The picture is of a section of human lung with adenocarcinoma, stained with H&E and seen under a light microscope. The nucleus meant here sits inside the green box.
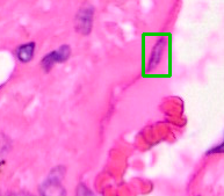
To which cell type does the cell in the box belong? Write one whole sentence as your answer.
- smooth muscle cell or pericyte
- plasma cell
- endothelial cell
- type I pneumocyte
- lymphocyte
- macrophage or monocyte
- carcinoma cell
Histopathologically, the cell in the box is an endothelial cell.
